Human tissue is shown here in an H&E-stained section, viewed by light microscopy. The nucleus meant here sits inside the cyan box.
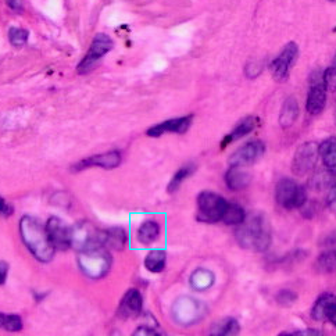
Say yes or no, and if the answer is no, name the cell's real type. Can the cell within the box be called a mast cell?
Yes.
